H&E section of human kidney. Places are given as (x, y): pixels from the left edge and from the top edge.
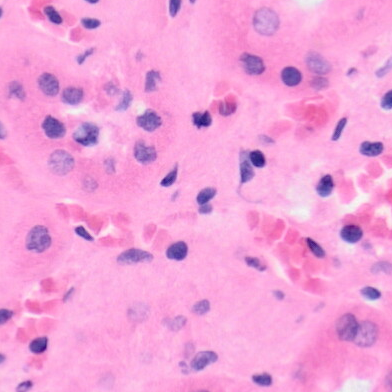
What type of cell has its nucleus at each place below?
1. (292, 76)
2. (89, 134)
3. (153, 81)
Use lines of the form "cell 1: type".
cell 1: proximal tubule cell
cell 2: loop of Henle or distal tubule cell
cell 3: loop of Henle or distal tubule cell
